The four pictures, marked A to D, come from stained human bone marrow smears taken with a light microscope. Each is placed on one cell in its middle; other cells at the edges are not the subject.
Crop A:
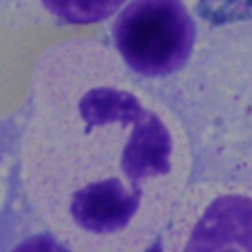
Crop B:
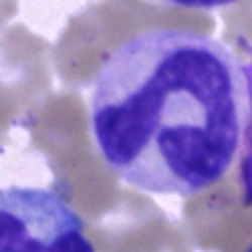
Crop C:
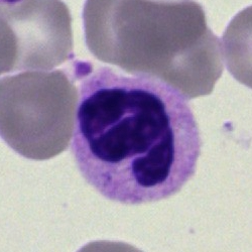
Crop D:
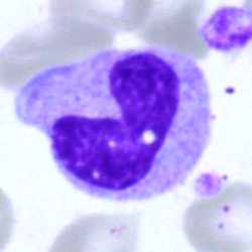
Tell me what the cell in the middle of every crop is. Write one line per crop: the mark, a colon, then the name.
A: segmented neutrophil
B: band neutrophil
C: segmented neutrophil
D: band neutrophil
